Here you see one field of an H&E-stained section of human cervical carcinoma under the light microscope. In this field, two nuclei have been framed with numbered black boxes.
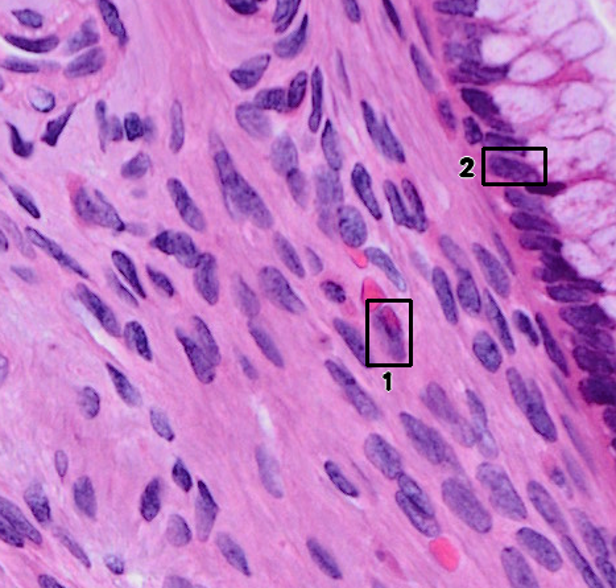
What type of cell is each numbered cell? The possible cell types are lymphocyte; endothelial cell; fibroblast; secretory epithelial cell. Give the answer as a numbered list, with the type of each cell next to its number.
1. endothelial cell
2. secretory epithelial cell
